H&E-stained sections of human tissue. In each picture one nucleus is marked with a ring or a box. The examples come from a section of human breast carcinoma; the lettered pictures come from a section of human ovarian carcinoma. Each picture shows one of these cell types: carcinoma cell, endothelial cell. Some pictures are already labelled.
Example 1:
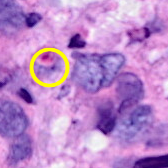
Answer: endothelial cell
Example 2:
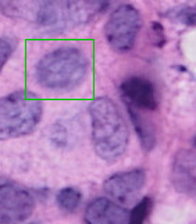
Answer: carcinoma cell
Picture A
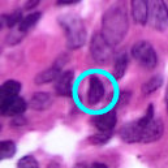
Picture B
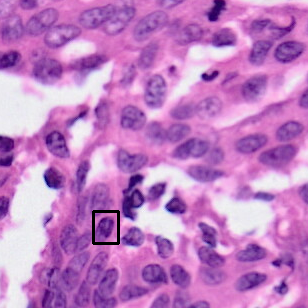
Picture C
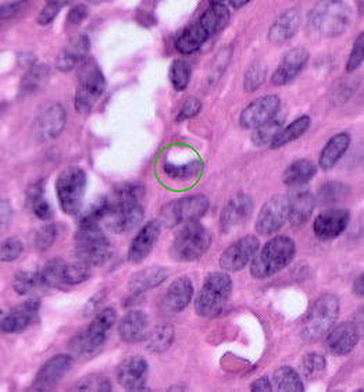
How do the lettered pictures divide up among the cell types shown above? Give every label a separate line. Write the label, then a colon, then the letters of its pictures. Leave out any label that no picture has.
carcinoma cell: A, B
endothelial cell: C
